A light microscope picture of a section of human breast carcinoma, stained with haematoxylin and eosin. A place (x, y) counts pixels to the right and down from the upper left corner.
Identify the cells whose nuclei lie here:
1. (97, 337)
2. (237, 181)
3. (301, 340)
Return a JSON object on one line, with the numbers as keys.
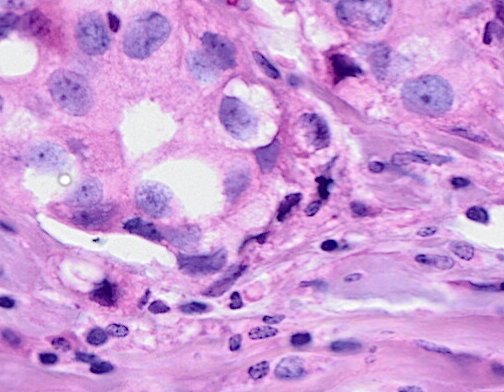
{"1": "lymphocyte", "2": "carcinoma cell", "3": "lymphocyte"}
